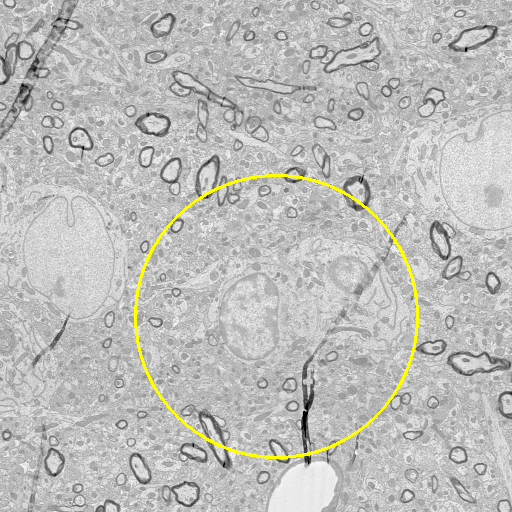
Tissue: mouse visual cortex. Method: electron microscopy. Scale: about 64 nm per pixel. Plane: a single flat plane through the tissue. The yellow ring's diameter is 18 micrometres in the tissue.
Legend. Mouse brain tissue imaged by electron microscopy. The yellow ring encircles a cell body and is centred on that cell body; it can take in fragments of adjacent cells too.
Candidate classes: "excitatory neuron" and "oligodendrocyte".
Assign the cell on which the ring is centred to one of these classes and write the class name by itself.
oligodendrocyte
